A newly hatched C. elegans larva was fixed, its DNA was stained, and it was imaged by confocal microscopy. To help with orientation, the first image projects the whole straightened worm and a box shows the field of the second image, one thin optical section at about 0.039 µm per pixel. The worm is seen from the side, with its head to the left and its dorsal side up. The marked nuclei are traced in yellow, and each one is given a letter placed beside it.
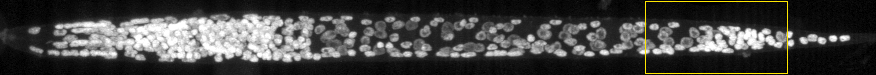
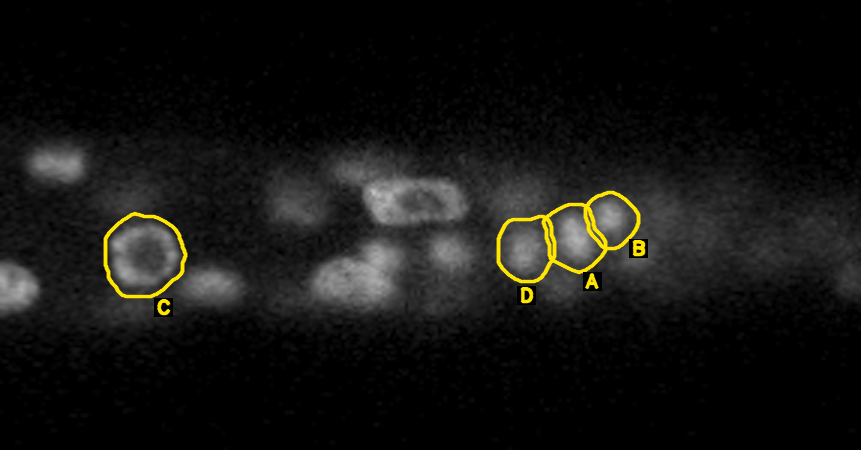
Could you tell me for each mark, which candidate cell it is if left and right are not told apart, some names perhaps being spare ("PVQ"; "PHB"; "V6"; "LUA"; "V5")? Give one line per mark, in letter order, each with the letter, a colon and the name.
A: PHB
B: LUA
C: V6
D: PVQ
